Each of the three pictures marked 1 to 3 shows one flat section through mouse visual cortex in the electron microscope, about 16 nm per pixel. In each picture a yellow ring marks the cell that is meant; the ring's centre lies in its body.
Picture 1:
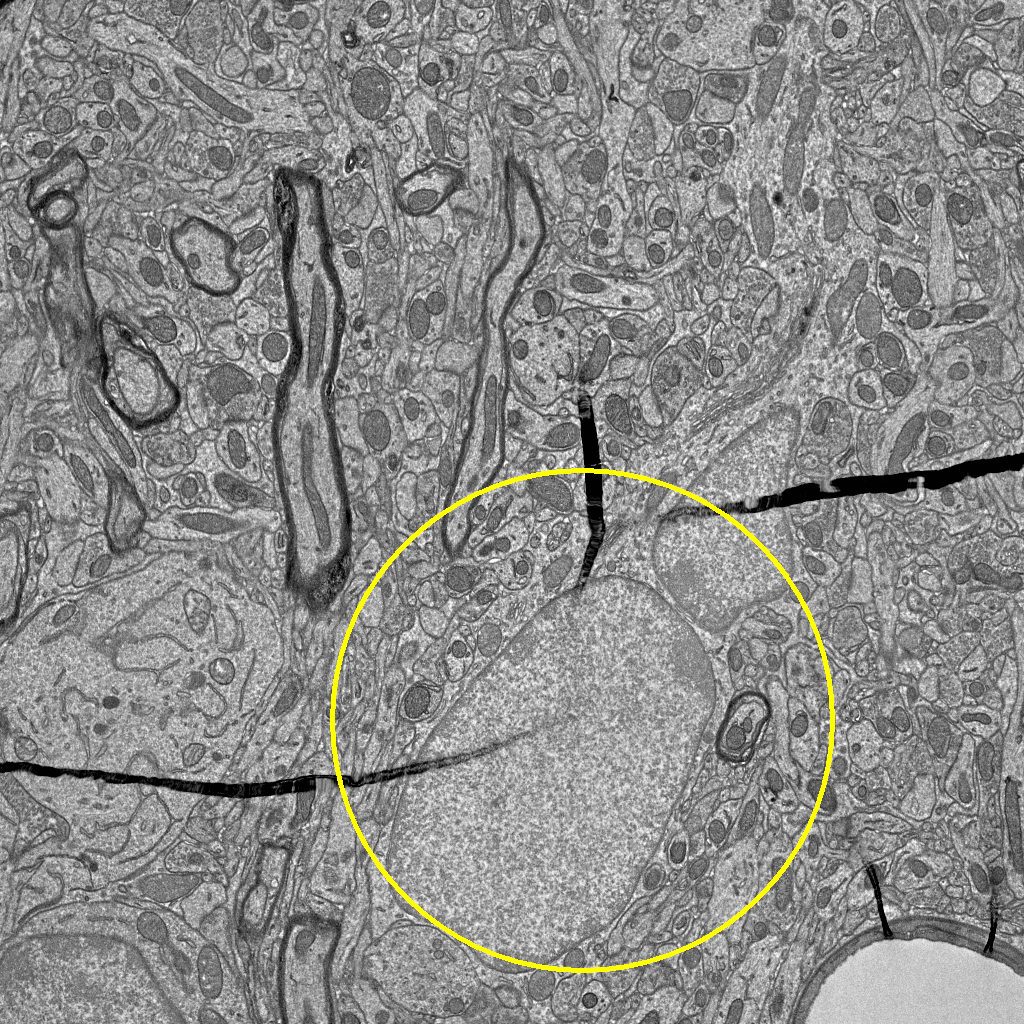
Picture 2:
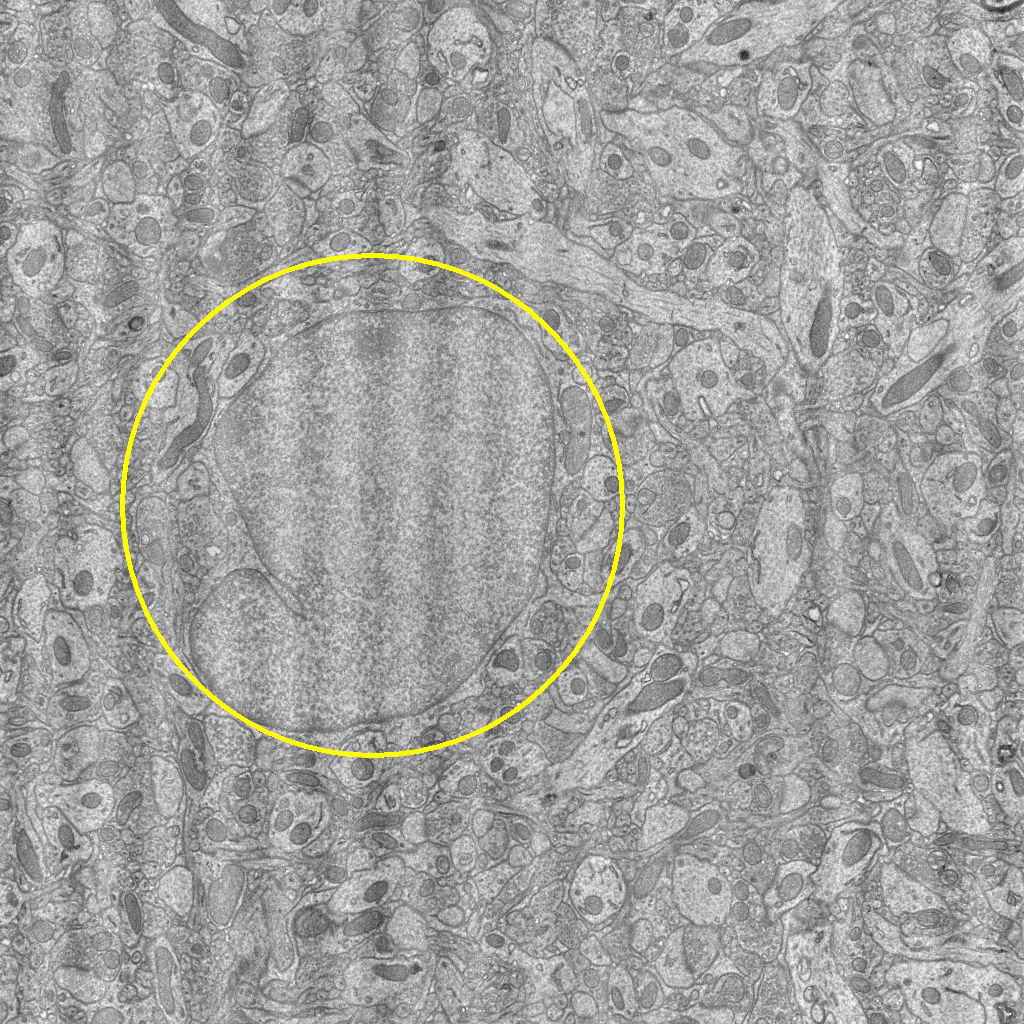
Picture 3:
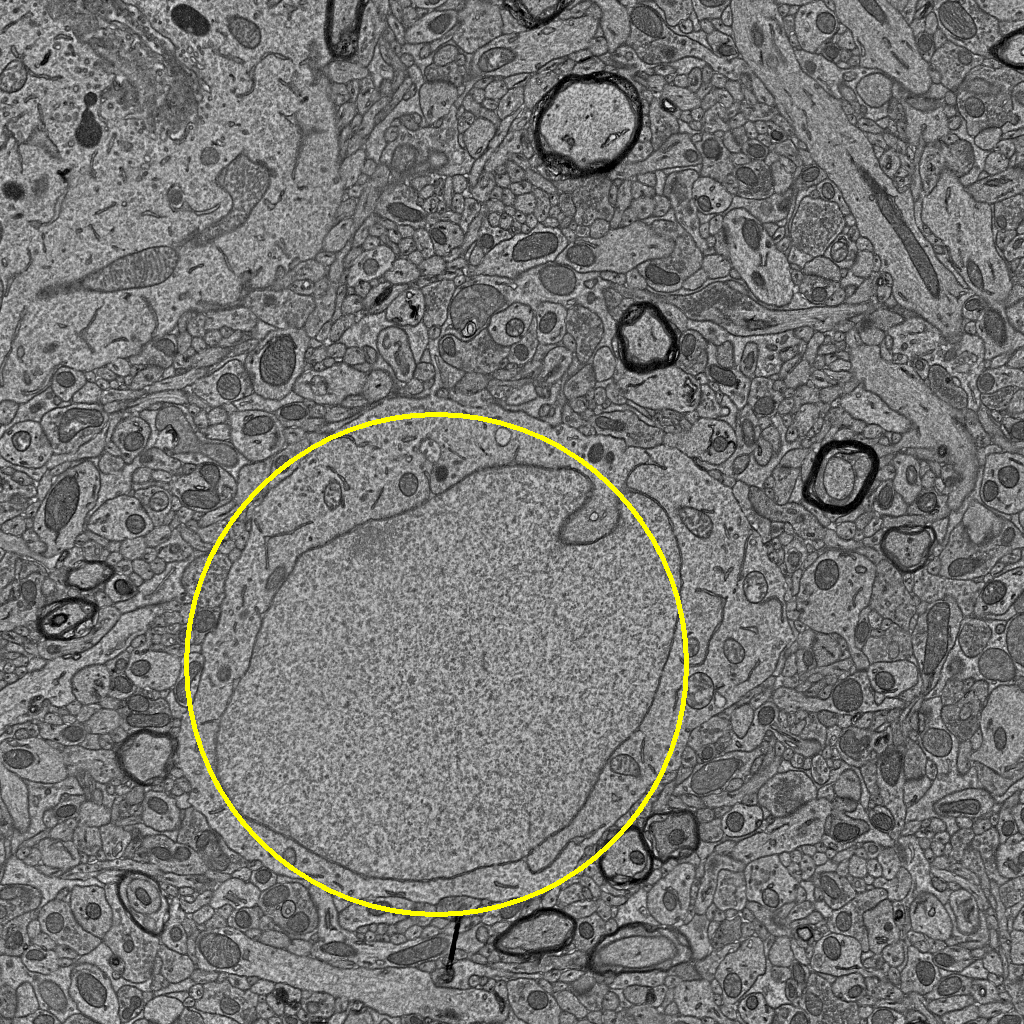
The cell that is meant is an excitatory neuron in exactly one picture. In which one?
The picture with the excitatory neuron is 3.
